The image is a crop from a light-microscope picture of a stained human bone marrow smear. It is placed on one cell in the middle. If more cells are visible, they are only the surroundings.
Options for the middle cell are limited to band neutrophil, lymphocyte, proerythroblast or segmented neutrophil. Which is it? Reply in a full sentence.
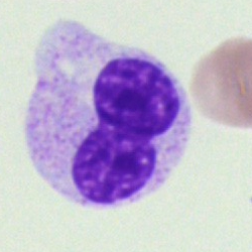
The single cell at the center of the crop is a band neutrophil.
